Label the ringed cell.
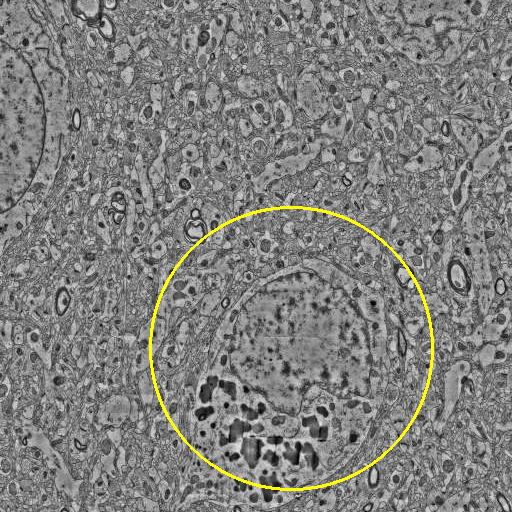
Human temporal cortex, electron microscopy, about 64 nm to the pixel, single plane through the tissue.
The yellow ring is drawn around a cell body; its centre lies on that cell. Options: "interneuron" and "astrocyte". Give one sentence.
The ringed cell is an interneuron.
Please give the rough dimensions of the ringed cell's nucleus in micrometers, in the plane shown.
About 9 micrometres across in this plane, for the nucleus.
